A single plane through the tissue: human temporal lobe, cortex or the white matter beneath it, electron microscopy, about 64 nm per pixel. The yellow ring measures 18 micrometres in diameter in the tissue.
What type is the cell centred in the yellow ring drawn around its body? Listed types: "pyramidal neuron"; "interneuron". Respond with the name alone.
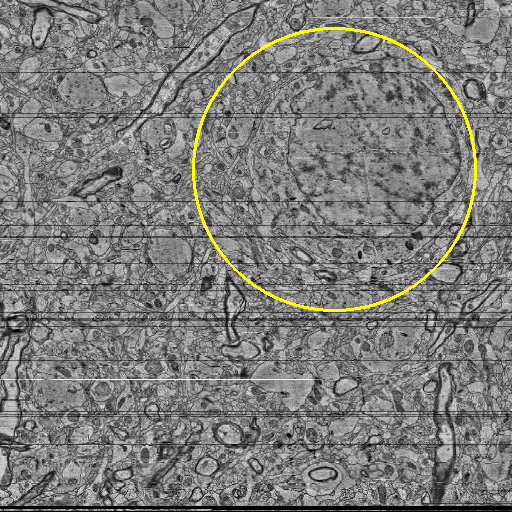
pyramidal neuron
